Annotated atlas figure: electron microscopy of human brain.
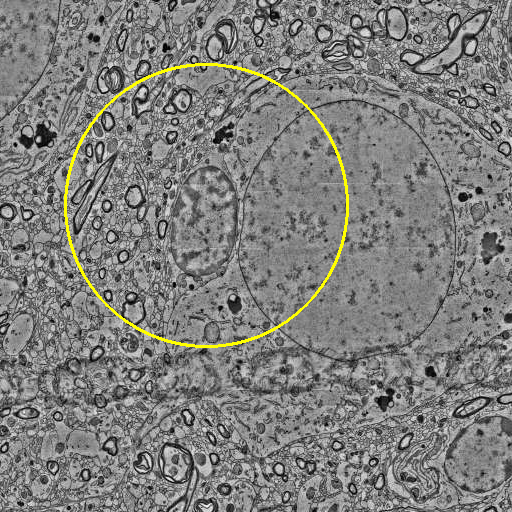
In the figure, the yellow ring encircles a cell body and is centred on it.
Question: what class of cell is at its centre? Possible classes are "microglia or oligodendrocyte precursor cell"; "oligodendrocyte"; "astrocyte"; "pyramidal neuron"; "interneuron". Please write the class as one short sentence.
The yellow ring is drawn around an oligodendrocyte.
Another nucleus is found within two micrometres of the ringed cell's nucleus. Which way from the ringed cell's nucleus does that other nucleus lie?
That other nucleus lies to the lower right of it.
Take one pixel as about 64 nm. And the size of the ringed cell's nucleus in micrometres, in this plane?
The nucleus measures about 7 by 4 micrometres, so it is clearly longer than it is wide in this plane.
